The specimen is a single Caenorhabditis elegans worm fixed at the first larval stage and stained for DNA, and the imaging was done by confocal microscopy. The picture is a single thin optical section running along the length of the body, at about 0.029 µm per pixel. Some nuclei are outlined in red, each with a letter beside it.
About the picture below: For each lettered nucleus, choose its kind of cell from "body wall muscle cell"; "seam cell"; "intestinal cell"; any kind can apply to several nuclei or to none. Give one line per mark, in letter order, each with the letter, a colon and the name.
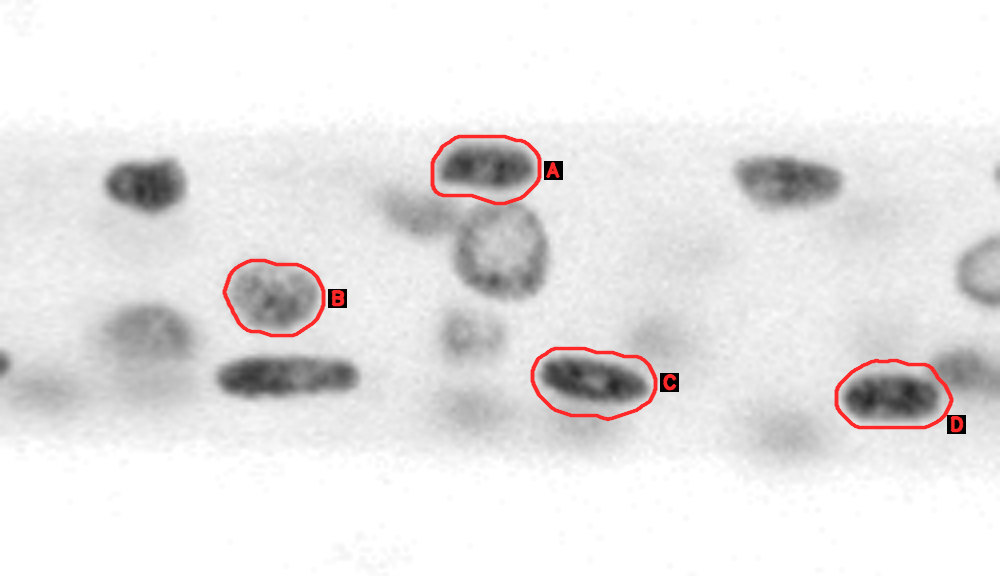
A: body wall muscle cell
B: seam cell
C: body wall muscle cell
D: body wall muscle cell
